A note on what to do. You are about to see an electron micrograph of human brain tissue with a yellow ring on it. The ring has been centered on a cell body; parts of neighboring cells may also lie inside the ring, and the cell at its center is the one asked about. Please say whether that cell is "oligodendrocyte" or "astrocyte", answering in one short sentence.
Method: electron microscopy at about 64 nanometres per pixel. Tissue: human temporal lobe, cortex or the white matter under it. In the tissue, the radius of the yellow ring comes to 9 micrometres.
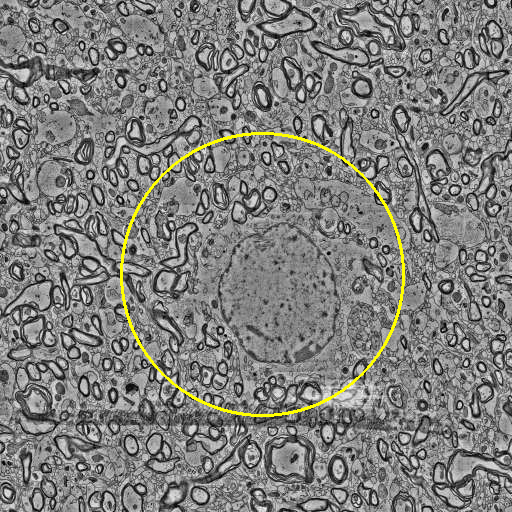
The yellow ring sits on an astrocyte.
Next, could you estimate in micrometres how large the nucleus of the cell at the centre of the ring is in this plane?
Roughly 8 micrometres across, measured in this plane.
